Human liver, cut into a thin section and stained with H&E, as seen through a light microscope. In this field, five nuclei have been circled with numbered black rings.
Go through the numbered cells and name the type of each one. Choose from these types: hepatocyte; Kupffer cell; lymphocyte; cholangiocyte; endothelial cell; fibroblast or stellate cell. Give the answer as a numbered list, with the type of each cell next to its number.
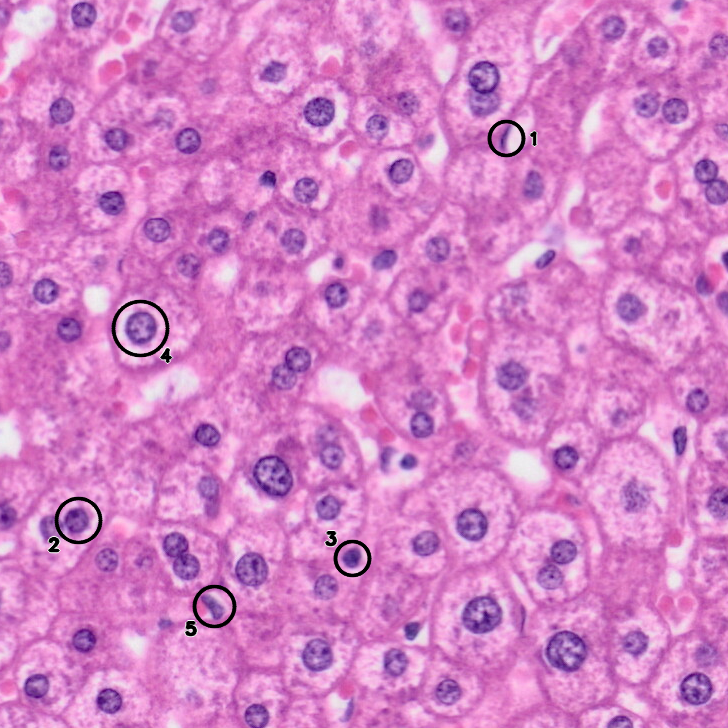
1. endothelial cell
2. hepatocyte
3. lymphocyte
4. hepatocyte
5. endothelial cell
